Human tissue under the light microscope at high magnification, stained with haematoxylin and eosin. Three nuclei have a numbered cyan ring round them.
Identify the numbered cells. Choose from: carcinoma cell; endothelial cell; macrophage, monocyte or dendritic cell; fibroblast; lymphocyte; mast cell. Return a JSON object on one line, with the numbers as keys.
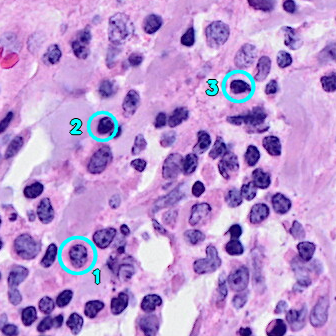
{"1": "mast cell", "2": "lymphocyte", "3": "lymphocyte"}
